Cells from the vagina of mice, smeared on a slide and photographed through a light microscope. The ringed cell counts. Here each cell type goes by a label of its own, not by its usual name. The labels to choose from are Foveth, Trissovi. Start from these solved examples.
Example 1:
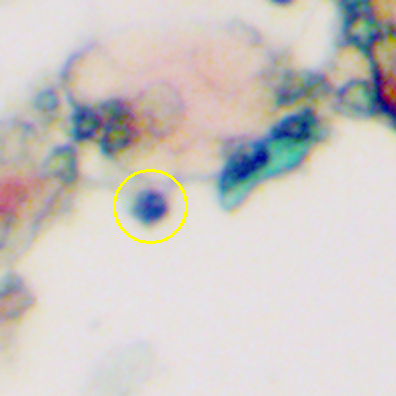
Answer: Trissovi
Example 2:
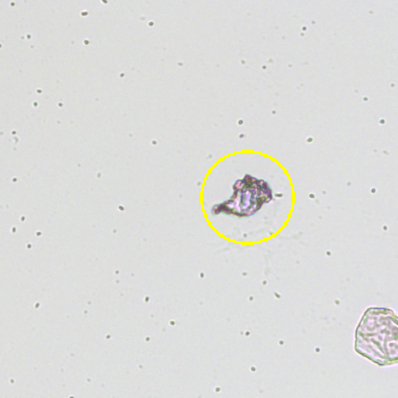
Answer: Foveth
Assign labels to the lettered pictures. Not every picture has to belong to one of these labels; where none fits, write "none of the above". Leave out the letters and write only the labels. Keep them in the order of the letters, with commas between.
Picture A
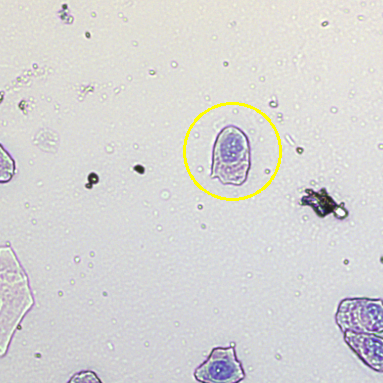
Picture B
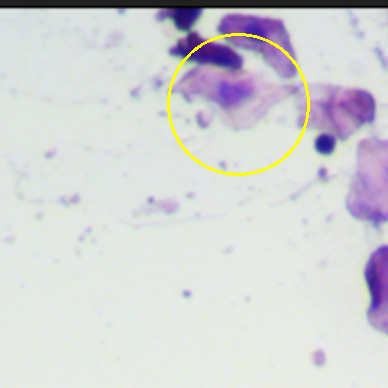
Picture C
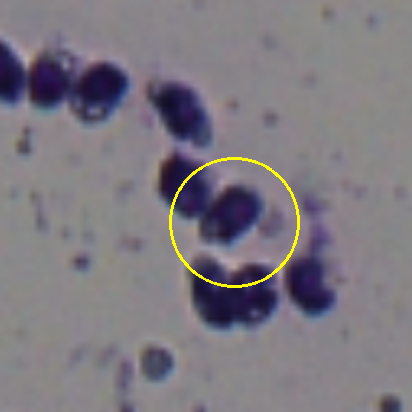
none of the above, none of the above, Trissovi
